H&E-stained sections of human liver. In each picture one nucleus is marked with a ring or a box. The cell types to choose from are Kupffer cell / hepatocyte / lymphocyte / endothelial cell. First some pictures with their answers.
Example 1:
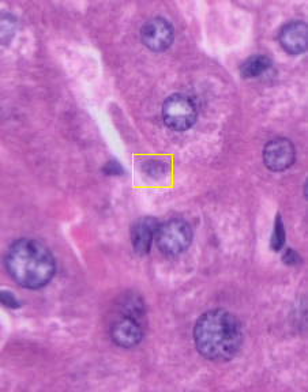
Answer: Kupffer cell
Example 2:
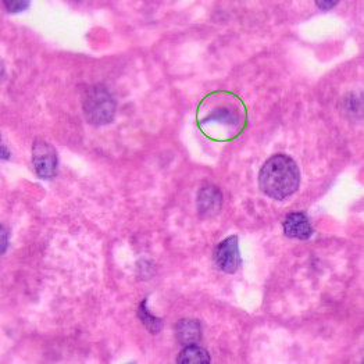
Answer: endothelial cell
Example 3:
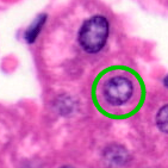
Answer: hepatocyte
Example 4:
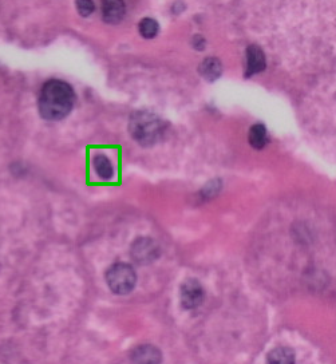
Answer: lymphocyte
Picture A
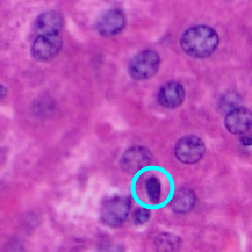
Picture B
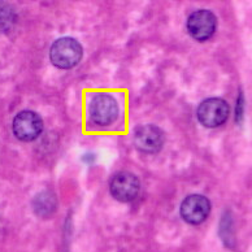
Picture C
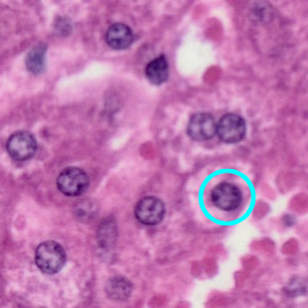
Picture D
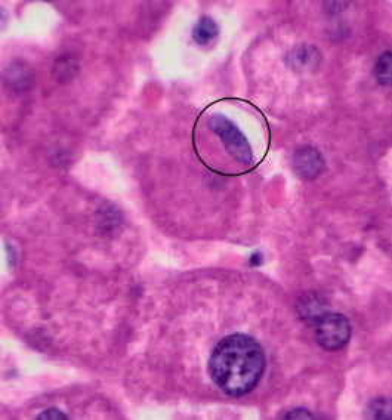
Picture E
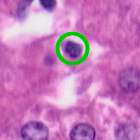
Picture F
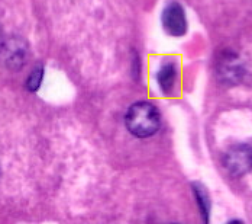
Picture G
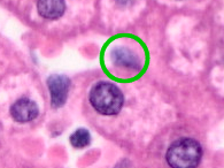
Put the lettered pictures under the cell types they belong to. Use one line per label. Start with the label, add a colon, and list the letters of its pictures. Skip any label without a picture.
Kupffer cell: D, F
hepatocyte: B, C
lymphocyte: A, E
endothelial cell: G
